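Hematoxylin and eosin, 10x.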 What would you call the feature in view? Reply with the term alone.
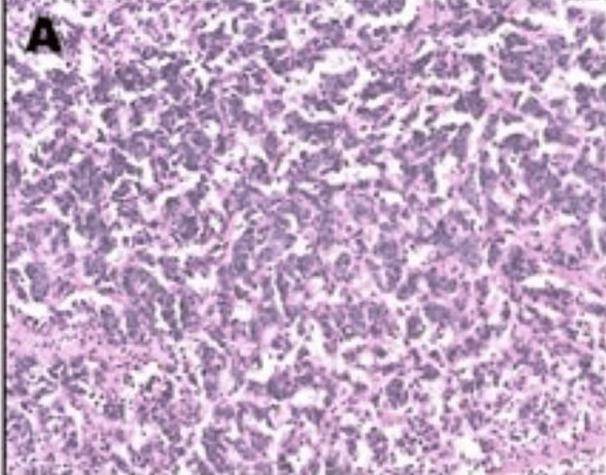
Cords and retracted groups of small cells.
